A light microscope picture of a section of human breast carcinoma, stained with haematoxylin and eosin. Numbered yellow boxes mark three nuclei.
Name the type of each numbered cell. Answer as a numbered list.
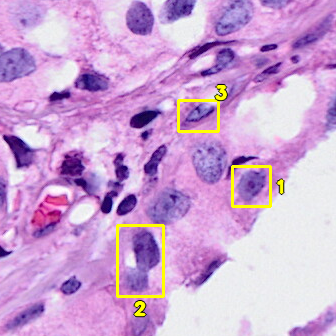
1. carcinoma cell
2. carcinoma cell
3. endothelial cell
